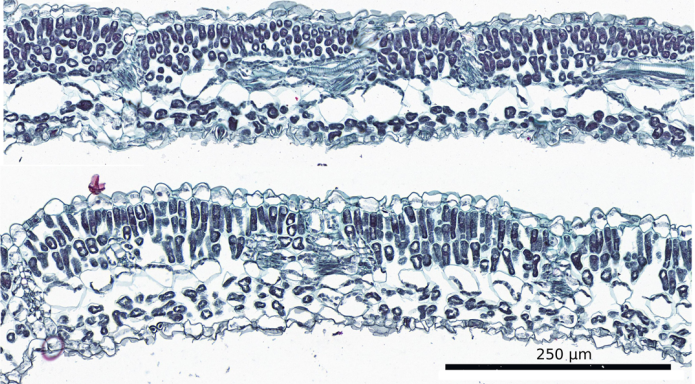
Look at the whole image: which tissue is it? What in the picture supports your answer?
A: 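Densely stained column-shaped cells packed beneath the upper surface. Loosely arranged rounded cells with large air spaces toward the lower surface. The answer: mesophyll.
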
